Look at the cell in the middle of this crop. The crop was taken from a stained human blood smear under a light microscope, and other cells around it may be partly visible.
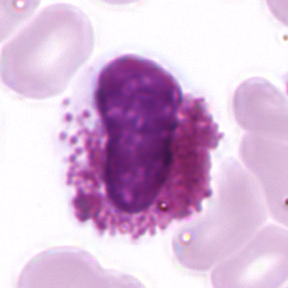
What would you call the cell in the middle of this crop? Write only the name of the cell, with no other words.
eosinophil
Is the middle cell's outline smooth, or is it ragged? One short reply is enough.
The outer contour of the cell is irregular, with ragged portions or projections along it.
